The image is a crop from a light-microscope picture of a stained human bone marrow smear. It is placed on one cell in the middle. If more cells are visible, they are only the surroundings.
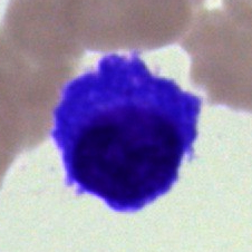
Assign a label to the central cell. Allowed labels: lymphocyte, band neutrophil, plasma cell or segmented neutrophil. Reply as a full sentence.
The cell at the central position in this crop is a plasma cell.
